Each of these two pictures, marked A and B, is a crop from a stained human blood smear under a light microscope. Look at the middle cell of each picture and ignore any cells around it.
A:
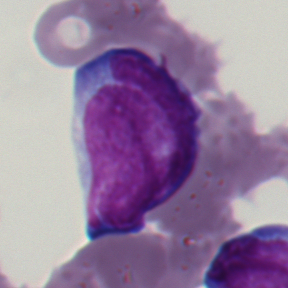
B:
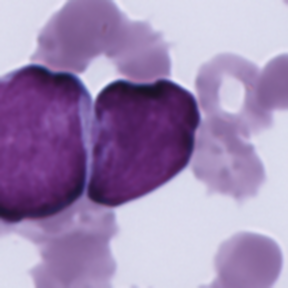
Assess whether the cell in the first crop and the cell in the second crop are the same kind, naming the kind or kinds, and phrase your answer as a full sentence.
Yes, both crops contain myeloblasts at their centres.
